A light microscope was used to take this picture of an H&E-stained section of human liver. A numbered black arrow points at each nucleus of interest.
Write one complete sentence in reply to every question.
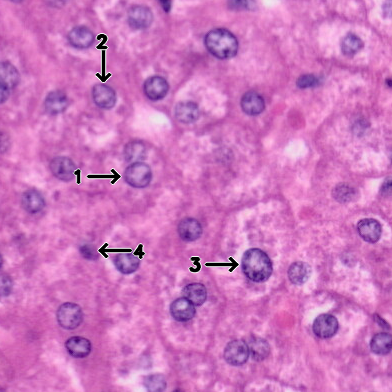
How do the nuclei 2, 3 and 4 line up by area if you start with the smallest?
By area, going up from the smallest, they rank 4, 2, 3.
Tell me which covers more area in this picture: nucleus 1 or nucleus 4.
The larger nucleus is 1, at roughly 2 times the area of 4.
